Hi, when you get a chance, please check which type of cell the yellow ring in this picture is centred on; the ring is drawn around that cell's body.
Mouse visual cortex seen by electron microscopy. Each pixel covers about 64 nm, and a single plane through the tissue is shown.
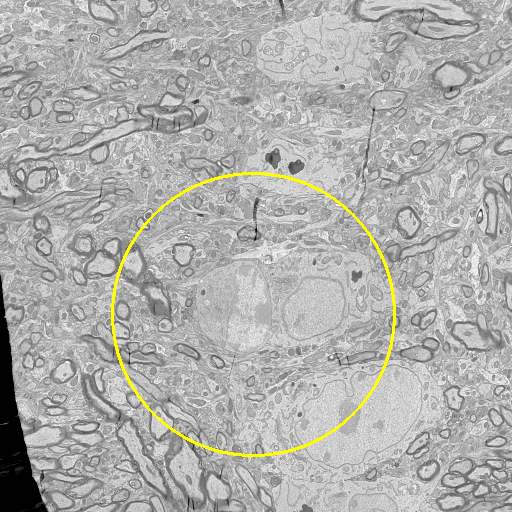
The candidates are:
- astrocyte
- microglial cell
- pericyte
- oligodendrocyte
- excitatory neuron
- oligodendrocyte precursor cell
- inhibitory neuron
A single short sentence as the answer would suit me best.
The ring is drawn around the body of an oligodendrocyte.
